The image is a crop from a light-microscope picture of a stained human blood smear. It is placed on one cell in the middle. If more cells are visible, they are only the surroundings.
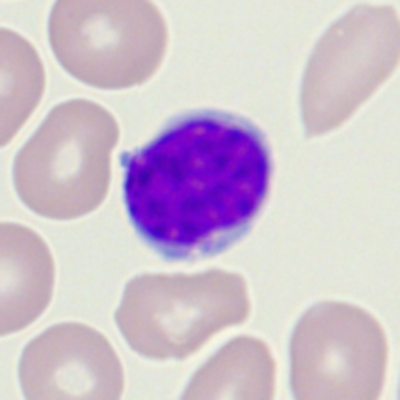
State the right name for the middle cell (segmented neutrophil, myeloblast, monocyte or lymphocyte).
lymphocyte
